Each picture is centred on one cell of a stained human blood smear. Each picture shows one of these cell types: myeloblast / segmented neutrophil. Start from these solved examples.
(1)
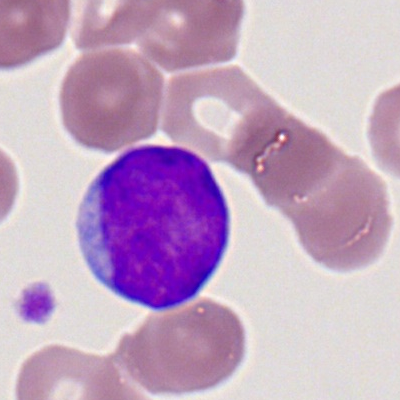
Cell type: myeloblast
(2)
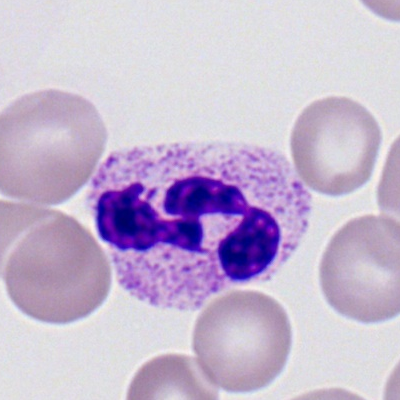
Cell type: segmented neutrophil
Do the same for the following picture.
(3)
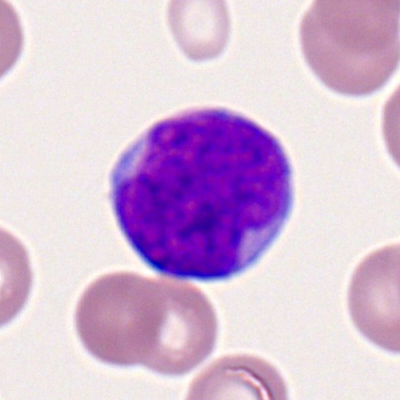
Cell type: myeloblast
